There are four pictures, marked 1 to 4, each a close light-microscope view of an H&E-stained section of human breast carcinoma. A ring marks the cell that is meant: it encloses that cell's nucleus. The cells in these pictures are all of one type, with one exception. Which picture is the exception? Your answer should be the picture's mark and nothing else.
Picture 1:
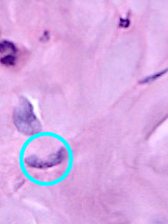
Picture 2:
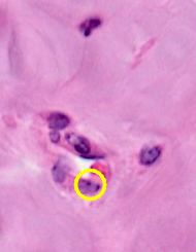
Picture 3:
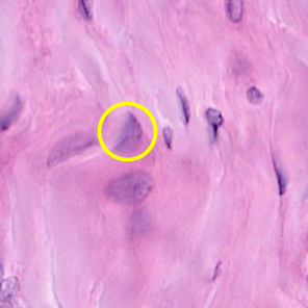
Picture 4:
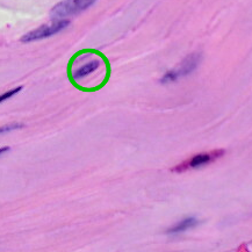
2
